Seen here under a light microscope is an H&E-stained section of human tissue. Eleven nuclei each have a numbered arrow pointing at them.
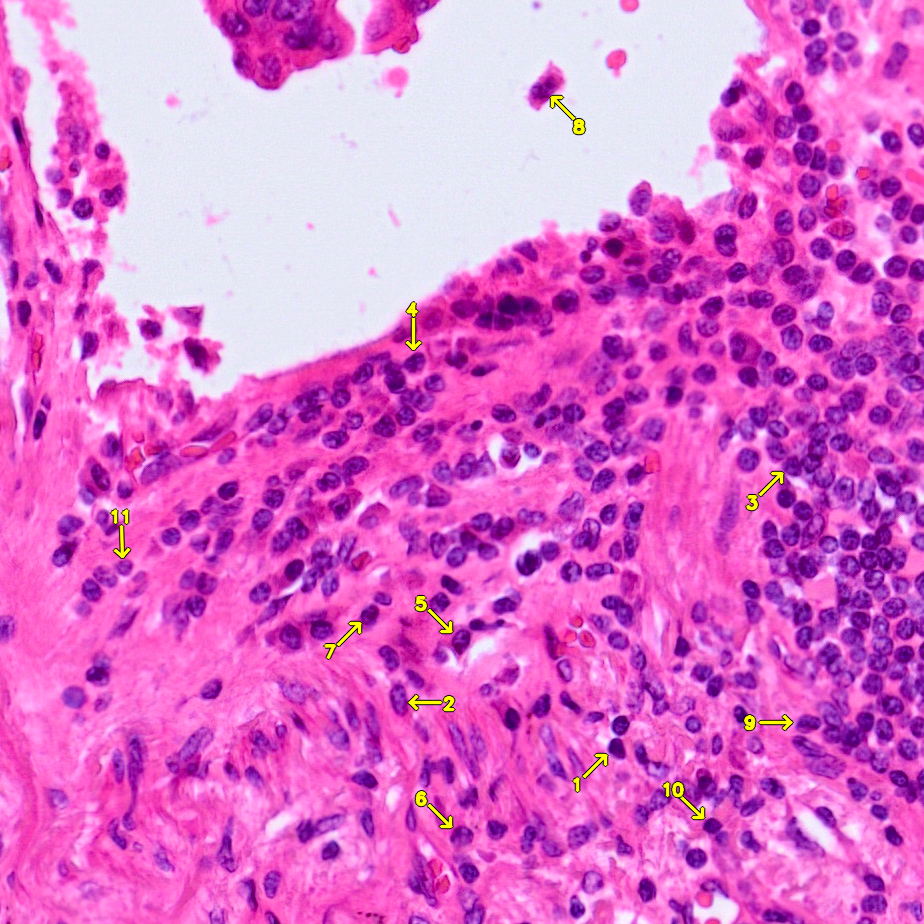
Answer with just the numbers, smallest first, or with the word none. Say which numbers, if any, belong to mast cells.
2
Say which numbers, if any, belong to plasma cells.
5, 6, 7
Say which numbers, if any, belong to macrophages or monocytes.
8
